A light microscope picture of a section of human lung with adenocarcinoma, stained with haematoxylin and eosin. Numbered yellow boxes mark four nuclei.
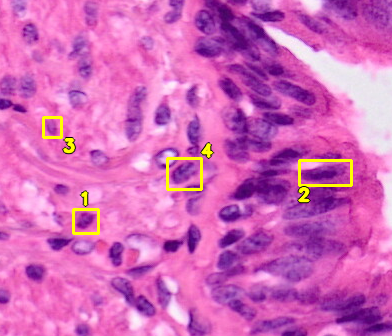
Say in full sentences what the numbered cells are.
Cell 1 is a mast cell, cell 2 is a ciliated epithelial cell, cell 3 is a smooth muscle cell or pericyte and cell 4 is a mast cell.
